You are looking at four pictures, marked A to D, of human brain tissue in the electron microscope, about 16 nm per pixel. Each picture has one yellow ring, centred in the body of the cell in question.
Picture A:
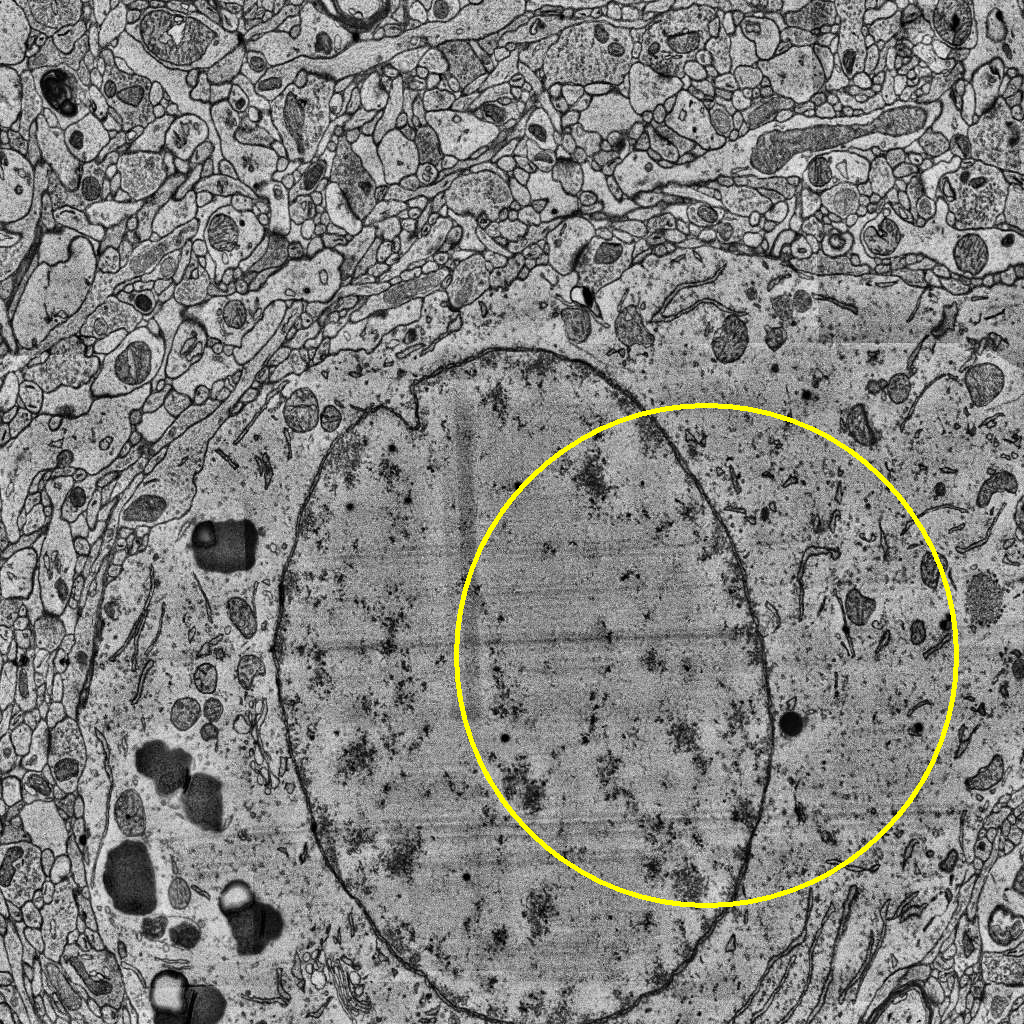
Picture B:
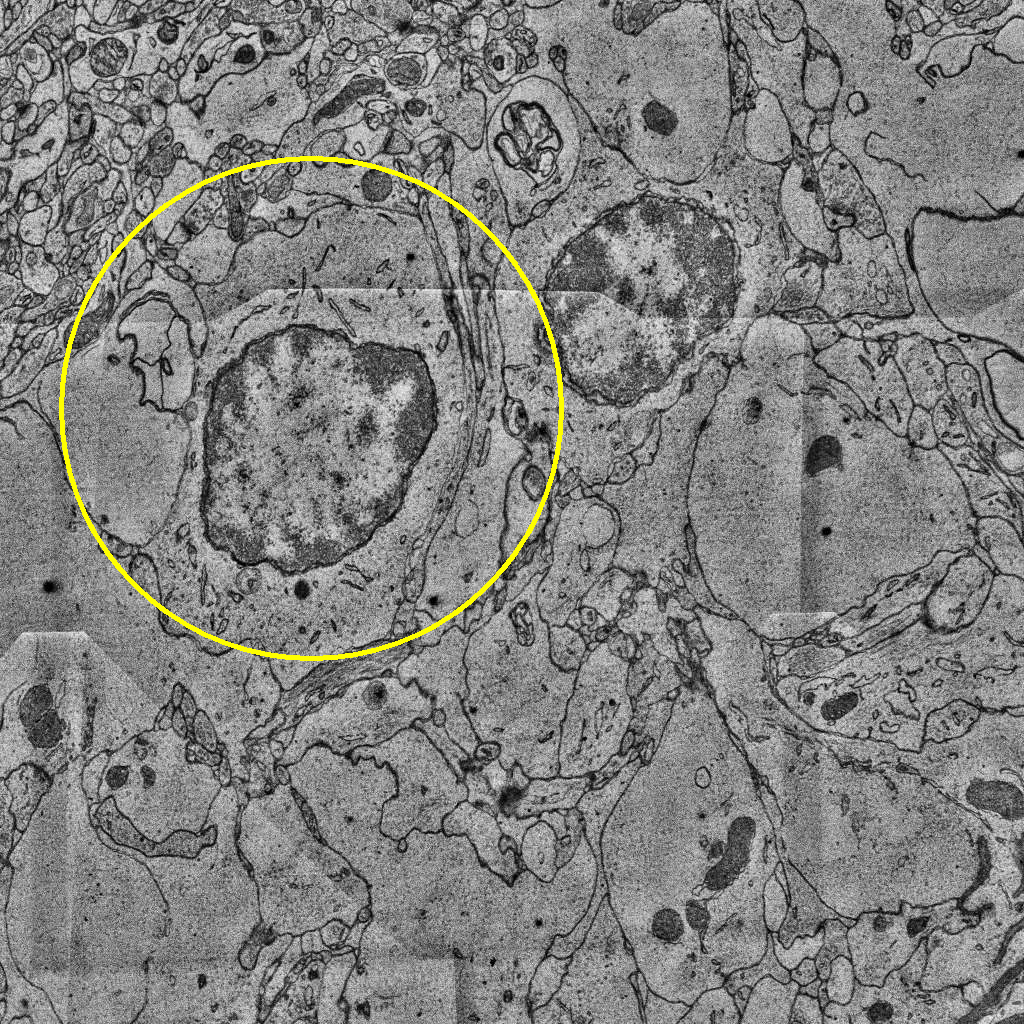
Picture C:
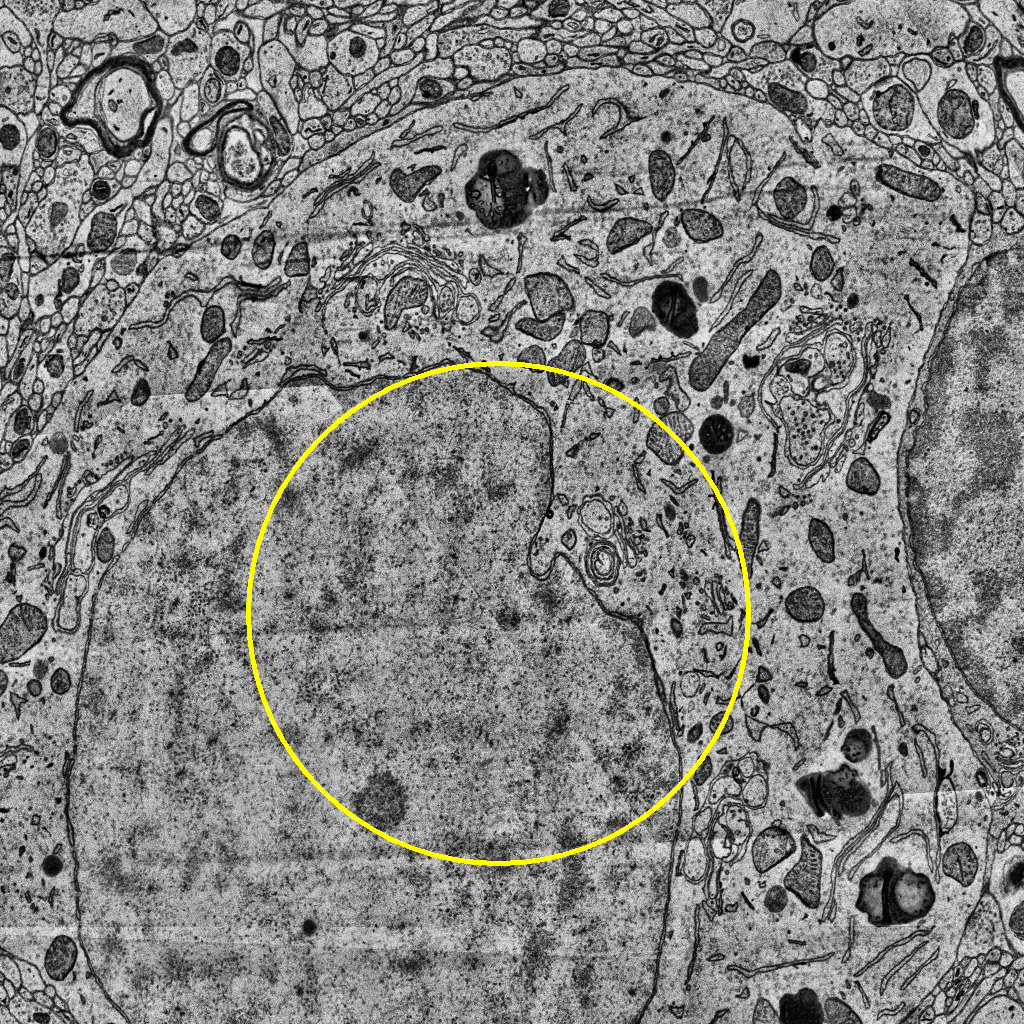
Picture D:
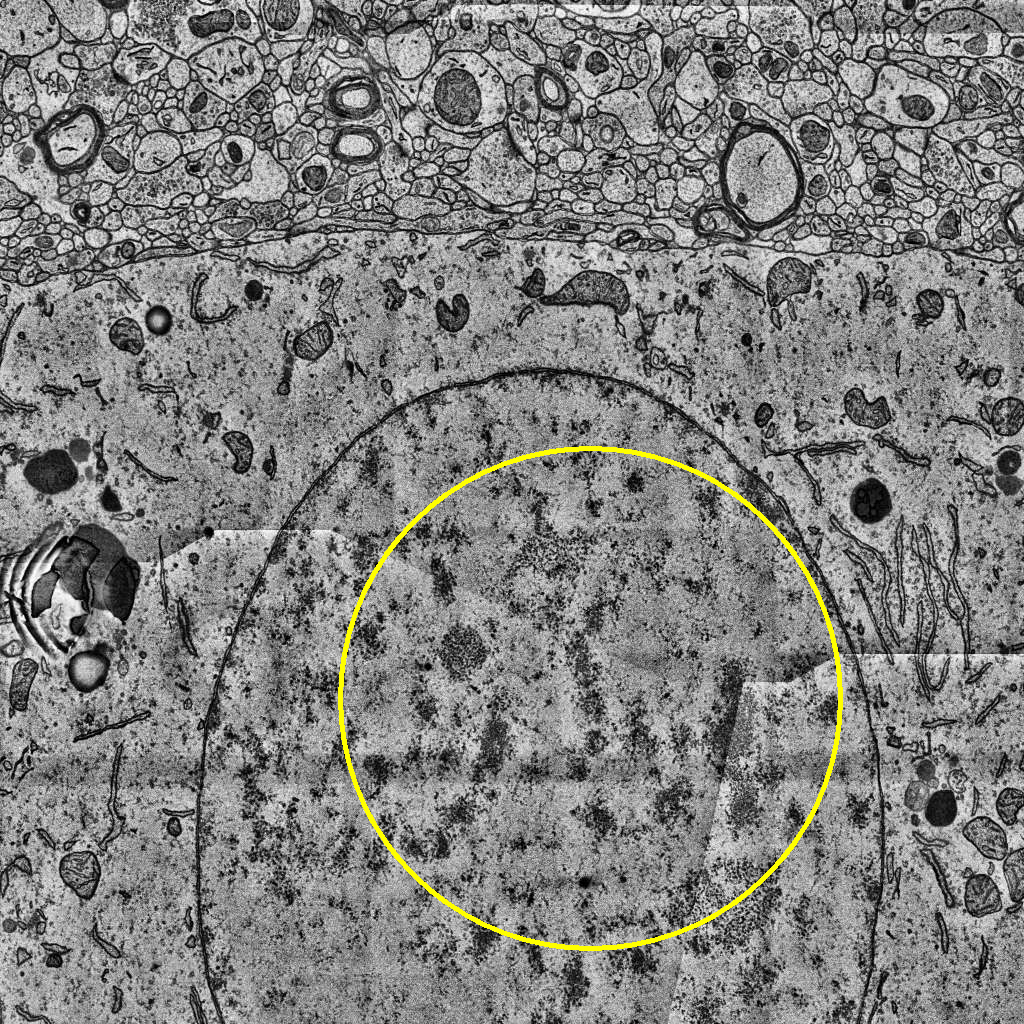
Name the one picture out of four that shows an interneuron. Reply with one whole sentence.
The picture with the interneuron is C.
